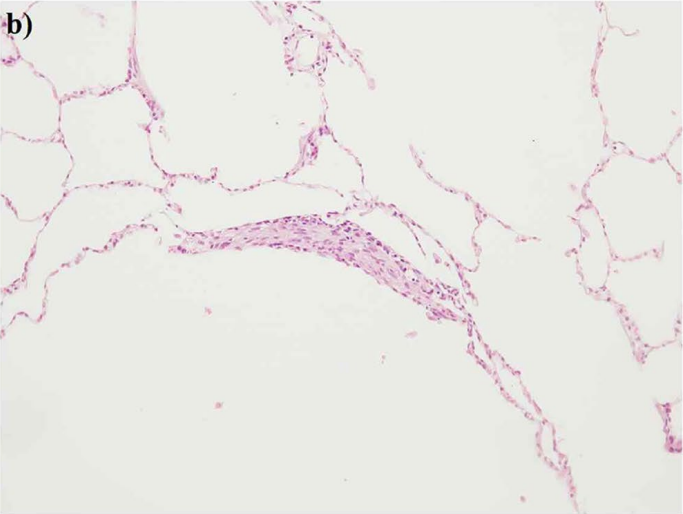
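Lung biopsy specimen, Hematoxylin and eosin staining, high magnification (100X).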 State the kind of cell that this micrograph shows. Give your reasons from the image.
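A band of elongated cells with long, narrow nuclei runs along a thin wall between air spaces. The cells are spindle-shaped, tapering at both ends.
Spindle cells.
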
